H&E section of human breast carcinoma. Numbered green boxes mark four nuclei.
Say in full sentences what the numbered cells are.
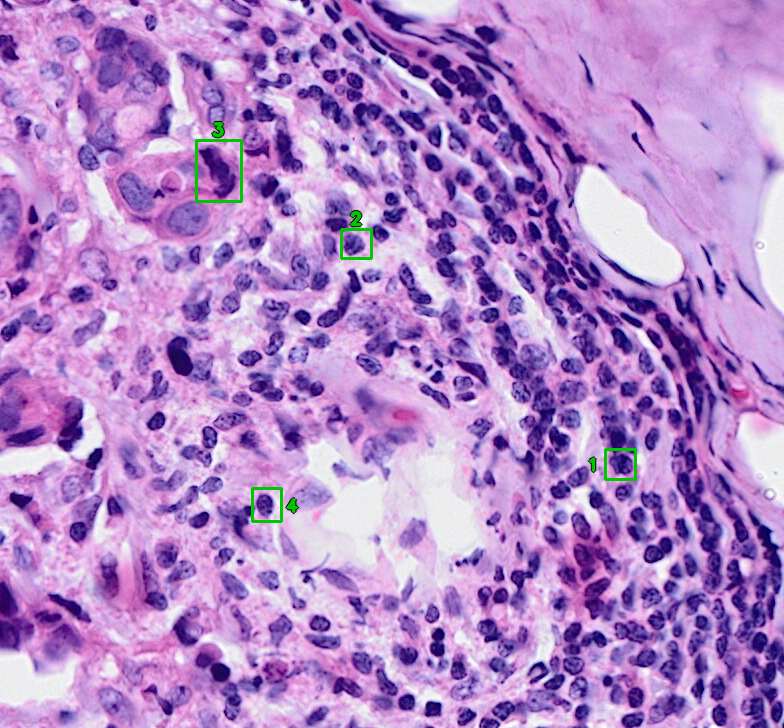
Cells 1, 2 and 4 are lymphocytes. Cell 3 is a carcinoma cell.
